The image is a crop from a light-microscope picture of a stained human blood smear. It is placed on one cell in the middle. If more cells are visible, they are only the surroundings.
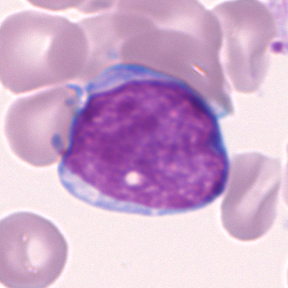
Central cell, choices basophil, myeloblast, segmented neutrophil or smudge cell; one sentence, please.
The cell that lies at the centre of the crop is a myeloblast.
